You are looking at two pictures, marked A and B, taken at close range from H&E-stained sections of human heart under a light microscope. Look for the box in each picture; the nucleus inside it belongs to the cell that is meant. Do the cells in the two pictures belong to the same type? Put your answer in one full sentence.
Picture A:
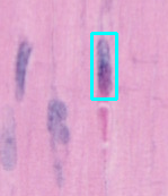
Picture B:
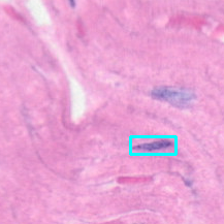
Yes, they are the same type: both are endothelial cells.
